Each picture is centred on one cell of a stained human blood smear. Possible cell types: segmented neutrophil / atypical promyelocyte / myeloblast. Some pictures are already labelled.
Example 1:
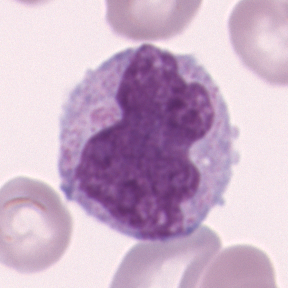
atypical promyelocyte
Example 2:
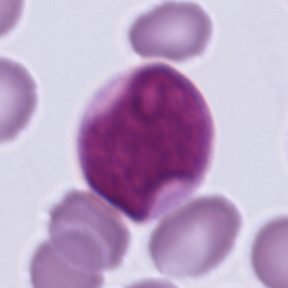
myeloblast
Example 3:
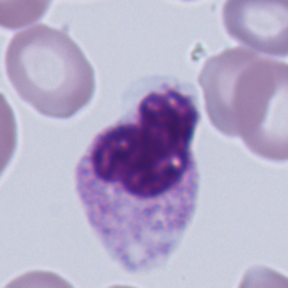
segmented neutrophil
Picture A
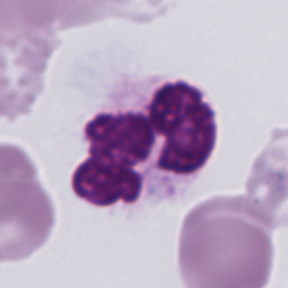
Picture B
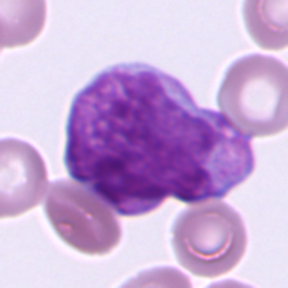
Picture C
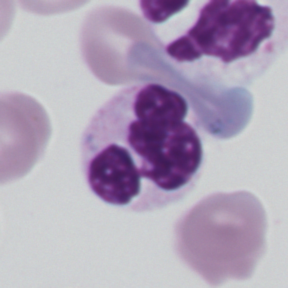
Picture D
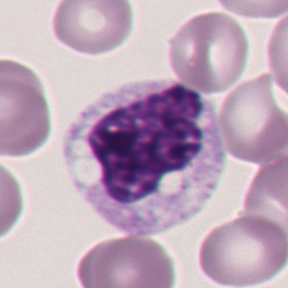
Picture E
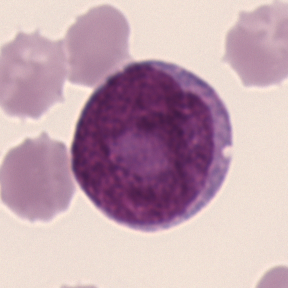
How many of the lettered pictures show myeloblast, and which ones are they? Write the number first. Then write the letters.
1: E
